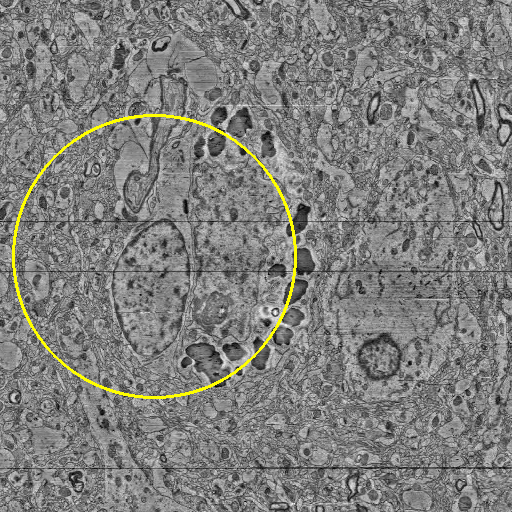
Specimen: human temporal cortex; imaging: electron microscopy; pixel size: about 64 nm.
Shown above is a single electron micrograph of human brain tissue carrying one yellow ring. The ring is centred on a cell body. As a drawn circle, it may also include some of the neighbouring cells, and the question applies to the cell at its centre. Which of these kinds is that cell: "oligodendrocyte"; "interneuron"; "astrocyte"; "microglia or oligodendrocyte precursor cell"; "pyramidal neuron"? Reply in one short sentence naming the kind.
The cell marked by the ring is a microglial cell or oligodendrocyte precursor cell.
